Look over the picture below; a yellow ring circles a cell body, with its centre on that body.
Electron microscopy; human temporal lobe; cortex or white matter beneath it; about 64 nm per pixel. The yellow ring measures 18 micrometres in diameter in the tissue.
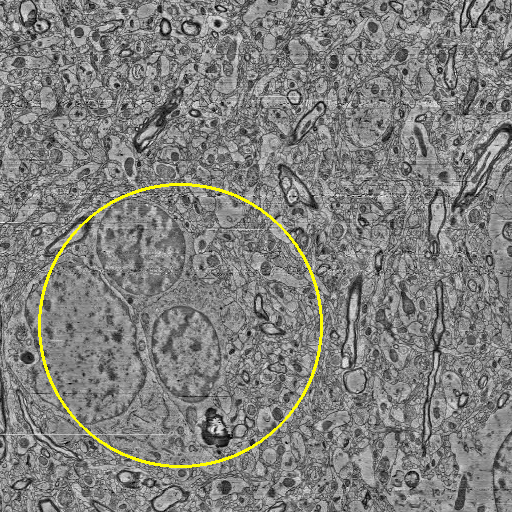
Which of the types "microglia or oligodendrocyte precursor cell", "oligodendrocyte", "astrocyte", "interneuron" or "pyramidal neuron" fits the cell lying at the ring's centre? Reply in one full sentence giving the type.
The picture shows an oligodendrocyte at the centre of the yellow ring.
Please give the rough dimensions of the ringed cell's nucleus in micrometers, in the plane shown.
The nucleus comes to roughly 6 by 4 micrometres in this plane.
